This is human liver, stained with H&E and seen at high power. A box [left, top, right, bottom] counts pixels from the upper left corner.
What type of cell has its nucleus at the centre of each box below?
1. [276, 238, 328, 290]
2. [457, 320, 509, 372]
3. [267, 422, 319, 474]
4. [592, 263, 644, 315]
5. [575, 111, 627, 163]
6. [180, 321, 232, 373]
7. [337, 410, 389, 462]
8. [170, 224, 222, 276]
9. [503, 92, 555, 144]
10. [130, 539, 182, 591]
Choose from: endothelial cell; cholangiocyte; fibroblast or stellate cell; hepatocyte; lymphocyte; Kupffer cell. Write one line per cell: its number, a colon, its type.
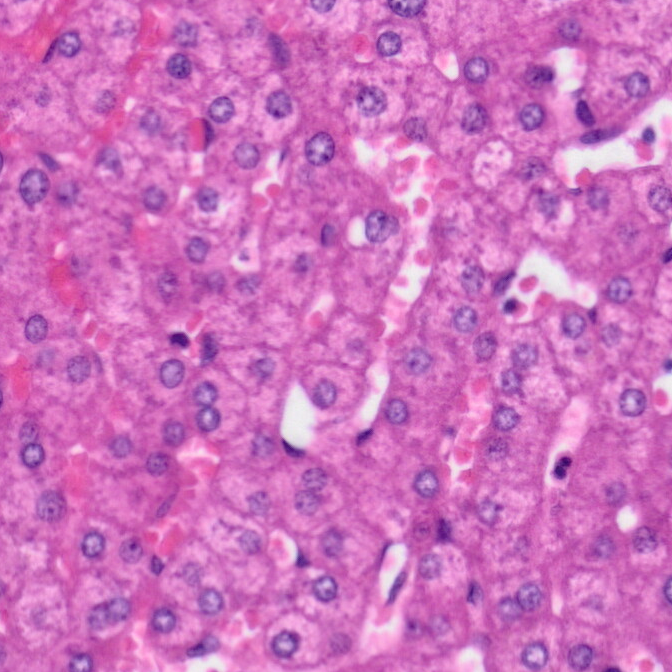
1: hepatocyte
2: hepatocyte
3: endothelial cell
4: hepatocyte
5: Kupffer cell
6: endothelial cell
7: fibroblast or stellate cell
8: hepatocyte
9: hepatocyte
10: fibroblast or stellate cell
